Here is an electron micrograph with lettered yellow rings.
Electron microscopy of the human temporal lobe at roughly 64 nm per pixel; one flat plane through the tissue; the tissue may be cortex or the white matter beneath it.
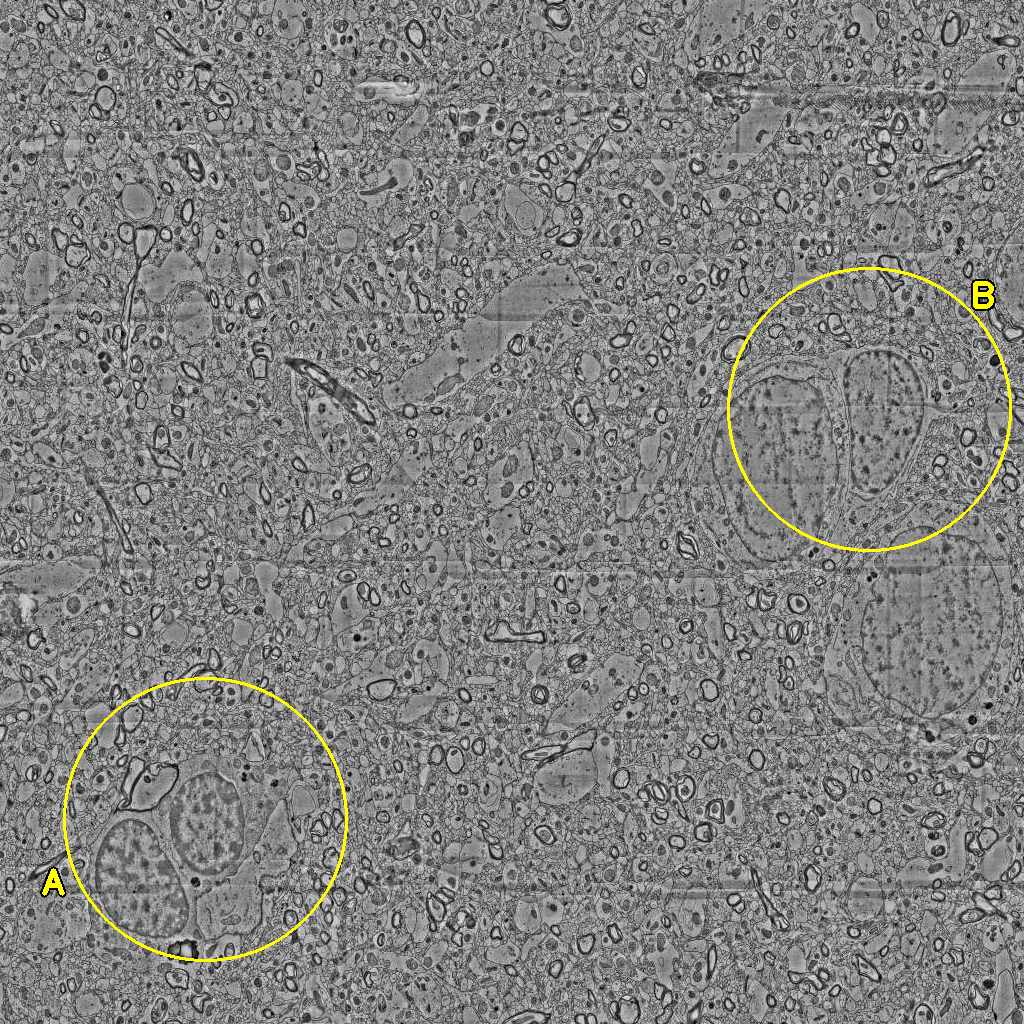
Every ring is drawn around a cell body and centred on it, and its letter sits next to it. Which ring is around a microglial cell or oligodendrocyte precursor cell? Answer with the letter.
B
